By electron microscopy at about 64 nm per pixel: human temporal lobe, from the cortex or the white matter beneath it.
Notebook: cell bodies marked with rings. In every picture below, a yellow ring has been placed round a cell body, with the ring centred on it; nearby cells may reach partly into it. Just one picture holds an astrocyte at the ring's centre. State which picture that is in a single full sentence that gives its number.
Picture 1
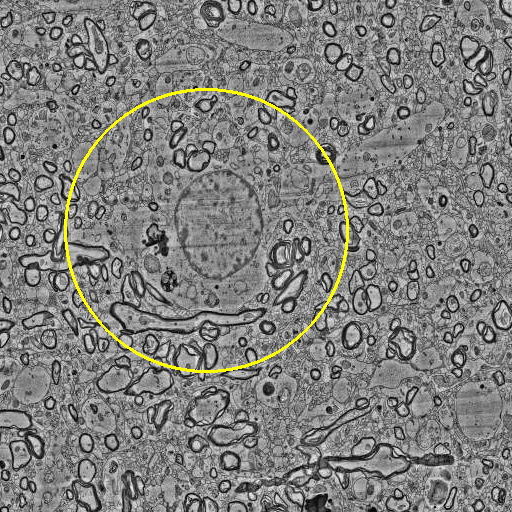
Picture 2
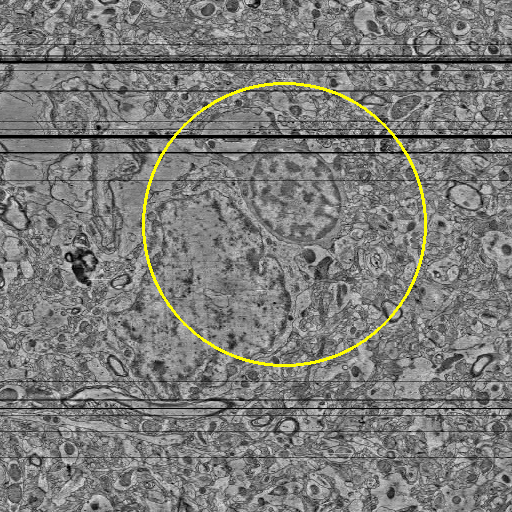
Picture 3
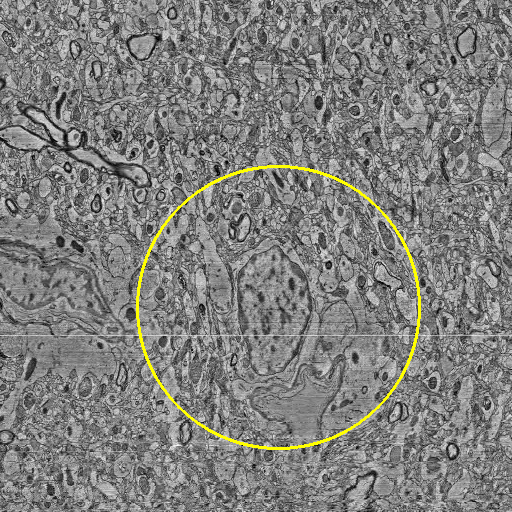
It is picture 1 whose ring has the wanted cell right at its centre.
